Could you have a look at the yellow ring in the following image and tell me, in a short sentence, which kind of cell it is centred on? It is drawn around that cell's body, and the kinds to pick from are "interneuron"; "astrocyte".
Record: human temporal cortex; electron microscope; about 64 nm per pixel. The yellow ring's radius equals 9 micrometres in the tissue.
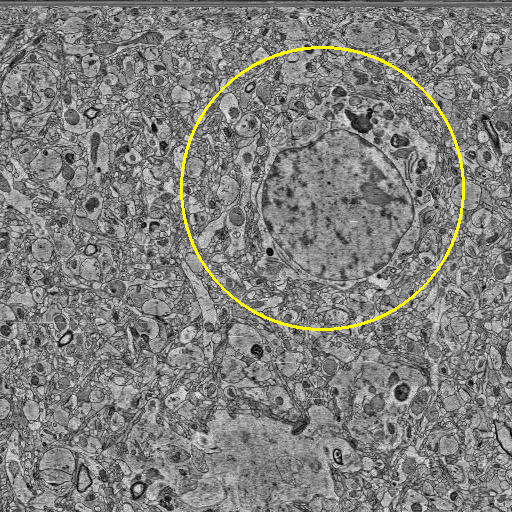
The ring is centred on the body of an astrocyte.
